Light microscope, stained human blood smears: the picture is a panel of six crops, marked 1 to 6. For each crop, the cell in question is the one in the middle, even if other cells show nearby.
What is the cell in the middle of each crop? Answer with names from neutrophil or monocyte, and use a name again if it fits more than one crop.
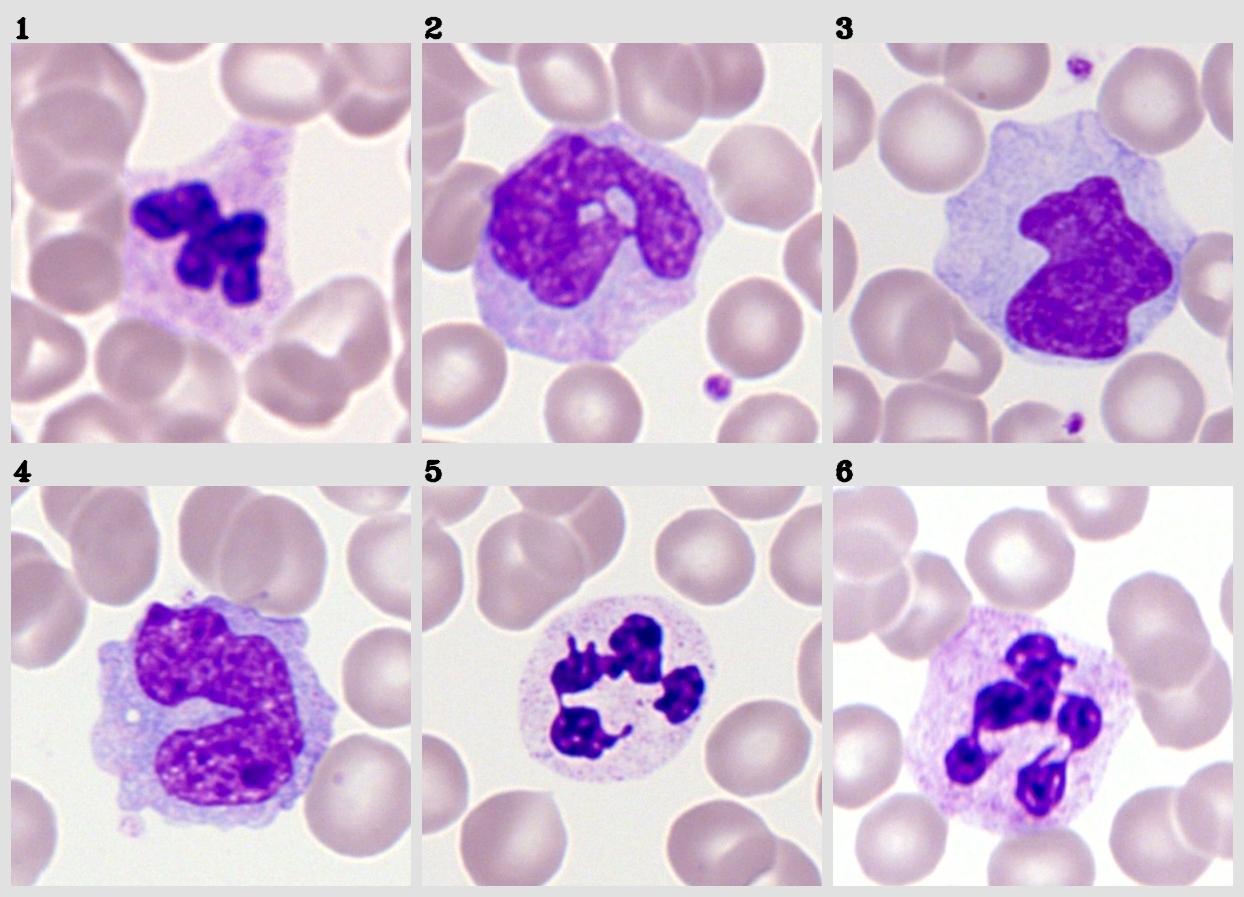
1: neutrophil
2: monocyte
3: monocyte
4: monocyte
5: neutrophil
6: neutrophil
